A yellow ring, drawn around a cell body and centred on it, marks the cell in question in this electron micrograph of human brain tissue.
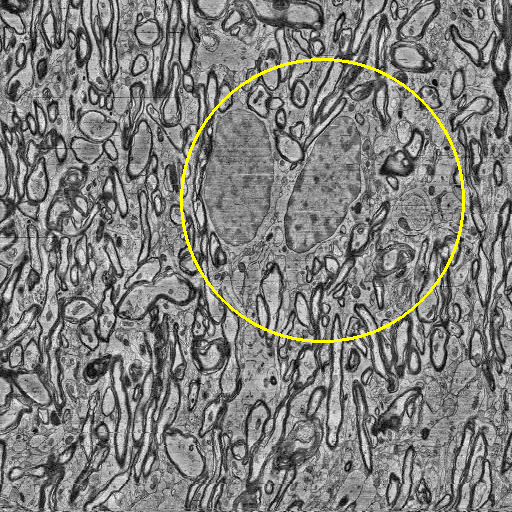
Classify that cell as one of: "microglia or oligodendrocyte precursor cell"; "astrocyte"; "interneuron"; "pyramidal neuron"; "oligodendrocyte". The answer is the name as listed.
microglia or oligodendrocyte precursor cell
